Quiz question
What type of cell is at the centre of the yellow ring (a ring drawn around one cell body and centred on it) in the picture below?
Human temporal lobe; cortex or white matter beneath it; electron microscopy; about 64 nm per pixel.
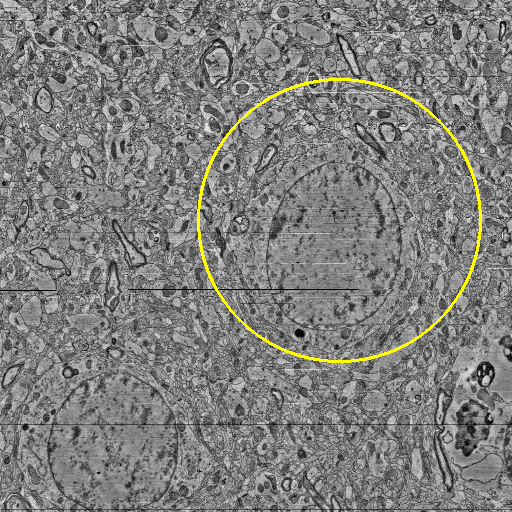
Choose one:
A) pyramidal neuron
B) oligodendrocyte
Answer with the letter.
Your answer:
A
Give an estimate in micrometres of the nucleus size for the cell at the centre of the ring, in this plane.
The nucleus measures about 11 by 9 micrometres in this plane.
